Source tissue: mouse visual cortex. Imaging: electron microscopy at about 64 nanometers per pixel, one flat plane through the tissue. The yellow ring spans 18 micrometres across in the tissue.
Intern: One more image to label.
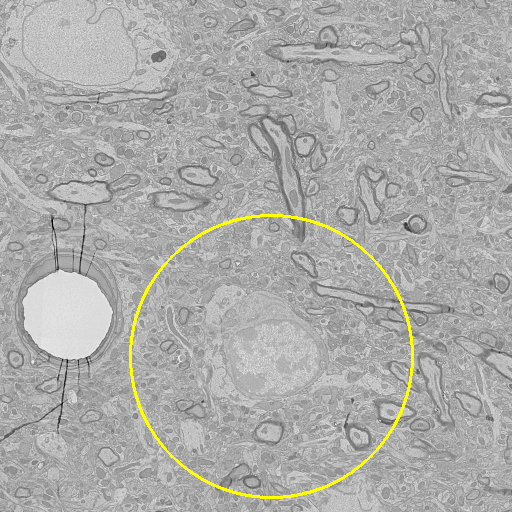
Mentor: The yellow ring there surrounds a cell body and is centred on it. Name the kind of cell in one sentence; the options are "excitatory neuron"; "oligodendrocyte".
The ring marks the cell body of an oligodendrocyte.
